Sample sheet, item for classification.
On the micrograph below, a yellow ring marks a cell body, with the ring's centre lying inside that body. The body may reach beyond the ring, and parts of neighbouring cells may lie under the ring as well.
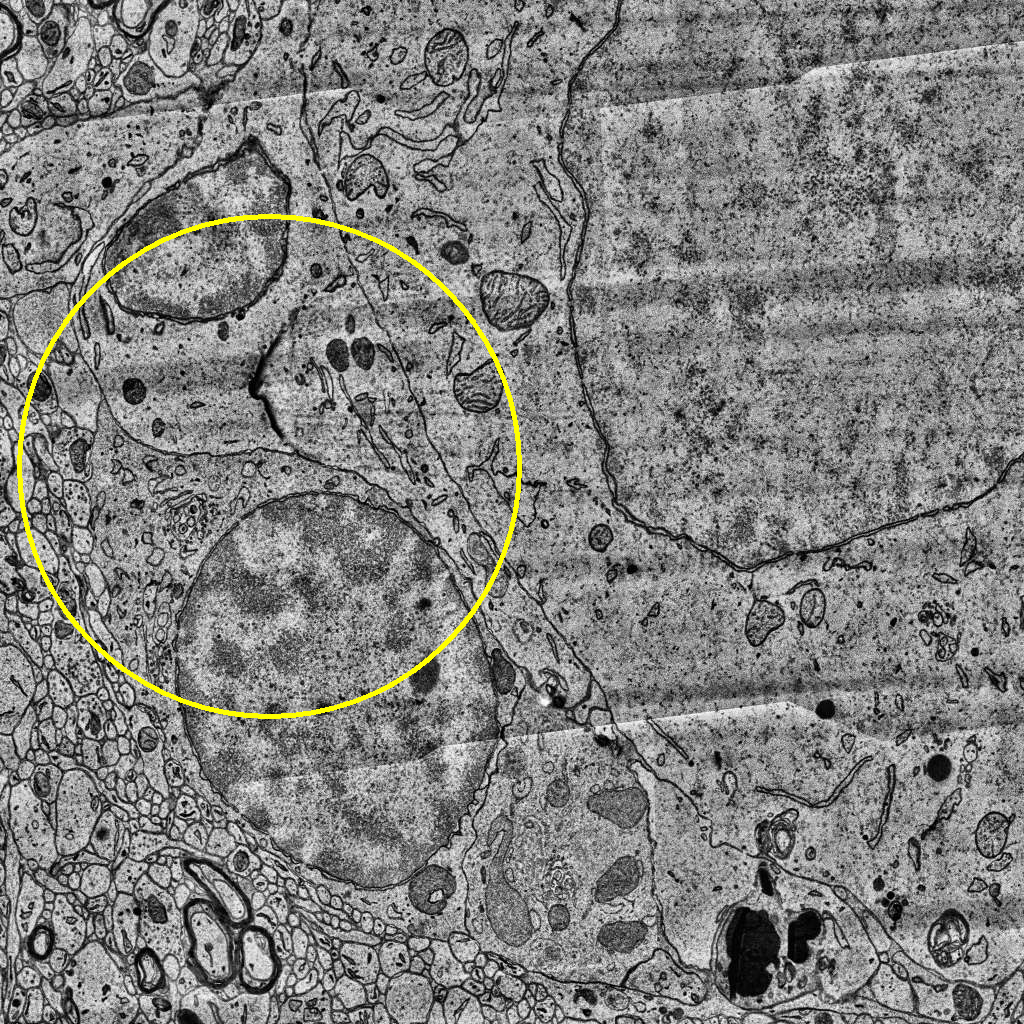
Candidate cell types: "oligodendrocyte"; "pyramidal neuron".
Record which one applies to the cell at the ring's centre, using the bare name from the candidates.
oligodendrocyte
